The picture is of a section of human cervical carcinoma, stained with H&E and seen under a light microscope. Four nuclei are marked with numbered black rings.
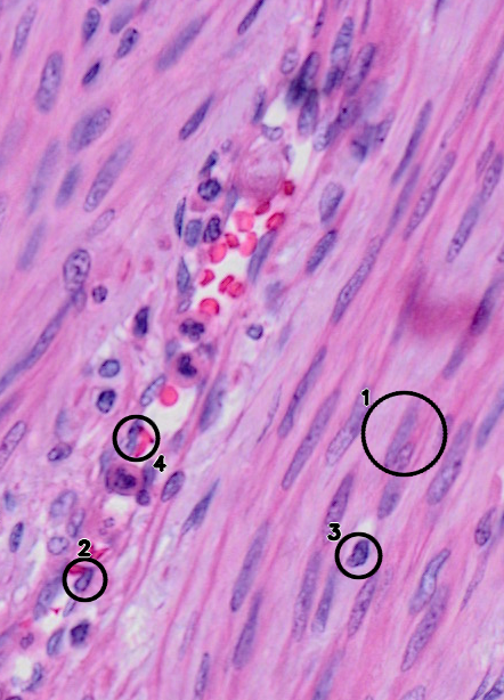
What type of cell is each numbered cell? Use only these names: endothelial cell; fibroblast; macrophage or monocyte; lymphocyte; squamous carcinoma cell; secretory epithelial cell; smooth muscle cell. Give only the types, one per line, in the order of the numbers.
smooth muscle cell
endothelial cell
lymphocyte
endothelial cell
